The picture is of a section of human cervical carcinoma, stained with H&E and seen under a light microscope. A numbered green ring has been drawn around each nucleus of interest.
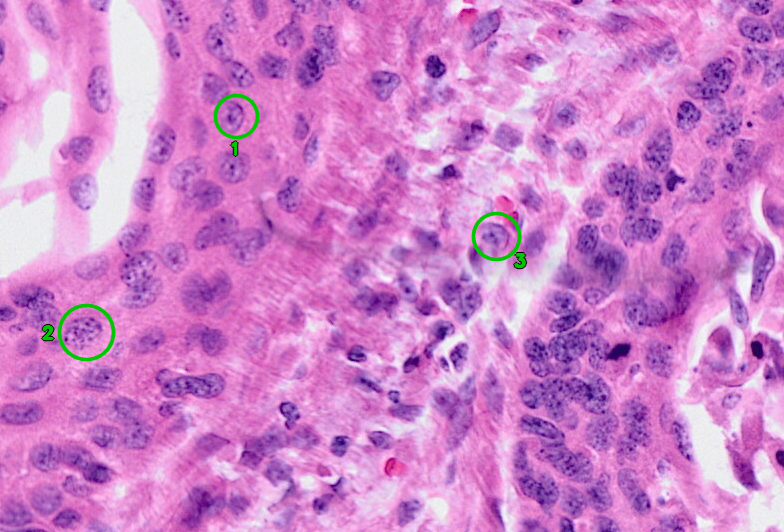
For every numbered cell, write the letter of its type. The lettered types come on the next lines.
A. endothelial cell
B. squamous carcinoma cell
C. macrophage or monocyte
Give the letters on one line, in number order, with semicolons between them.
B; B; A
